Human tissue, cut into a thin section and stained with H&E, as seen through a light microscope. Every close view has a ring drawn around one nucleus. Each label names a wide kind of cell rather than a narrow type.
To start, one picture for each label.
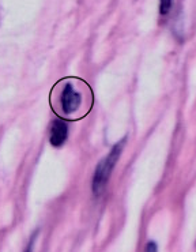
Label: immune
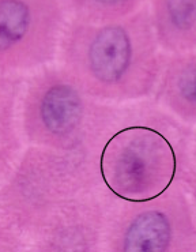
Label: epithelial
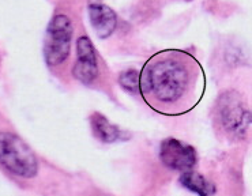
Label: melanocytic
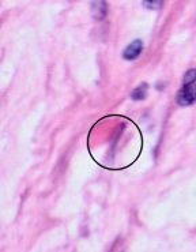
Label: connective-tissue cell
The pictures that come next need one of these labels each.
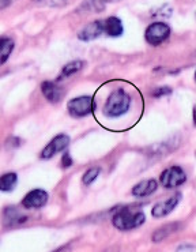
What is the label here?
immune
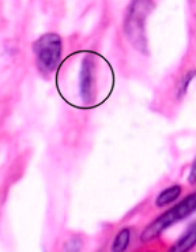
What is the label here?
connective-tissue cell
